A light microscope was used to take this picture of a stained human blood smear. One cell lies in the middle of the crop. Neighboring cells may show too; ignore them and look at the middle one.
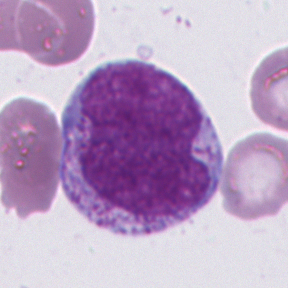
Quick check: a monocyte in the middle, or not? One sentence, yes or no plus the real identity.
No, the central cell is properly termed a promyelocyte, not a monocyte.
